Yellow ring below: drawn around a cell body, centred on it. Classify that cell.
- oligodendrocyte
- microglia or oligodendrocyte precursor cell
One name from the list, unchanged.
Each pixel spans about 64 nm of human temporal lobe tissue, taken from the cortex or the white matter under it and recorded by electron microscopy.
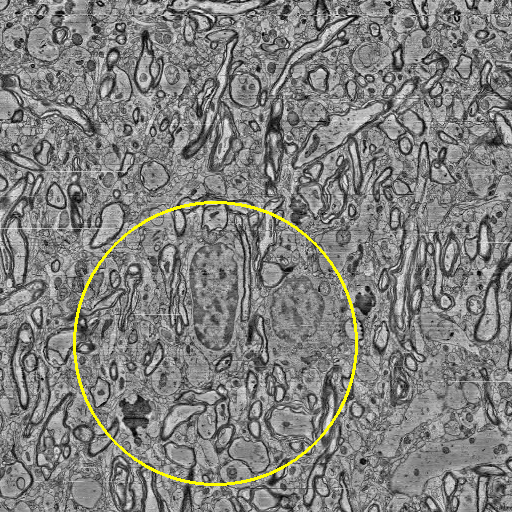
microglia or oligodendrocyte precursor cell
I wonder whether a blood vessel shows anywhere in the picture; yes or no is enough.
No, a blood vessel is absent from this picture.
